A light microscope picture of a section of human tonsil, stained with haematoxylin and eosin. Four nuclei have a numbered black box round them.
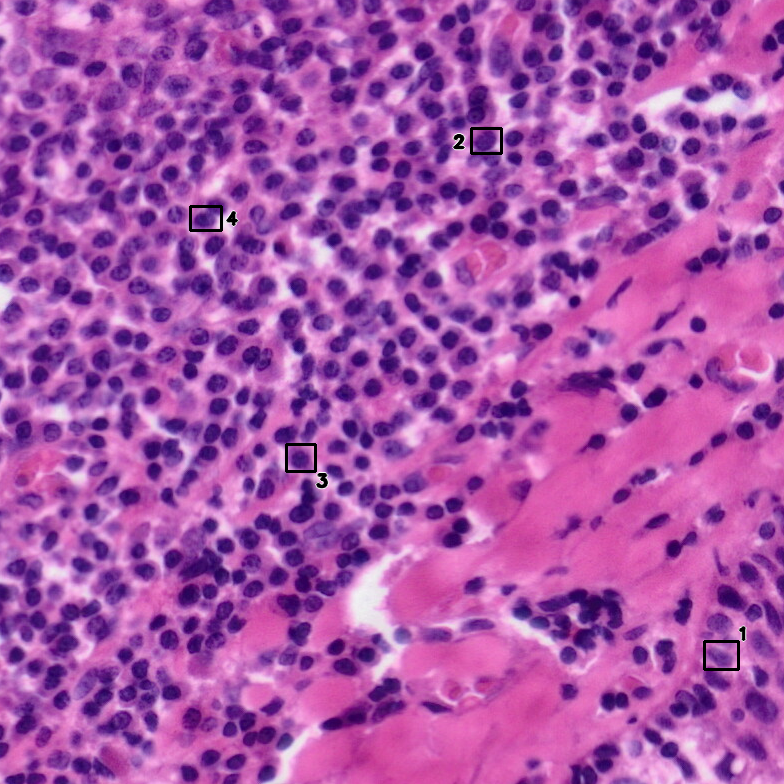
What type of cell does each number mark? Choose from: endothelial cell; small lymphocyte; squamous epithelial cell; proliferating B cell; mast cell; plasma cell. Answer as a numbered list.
1. squamous epithelial cell
2. plasma cell
3. plasma cell
4. plasma cell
